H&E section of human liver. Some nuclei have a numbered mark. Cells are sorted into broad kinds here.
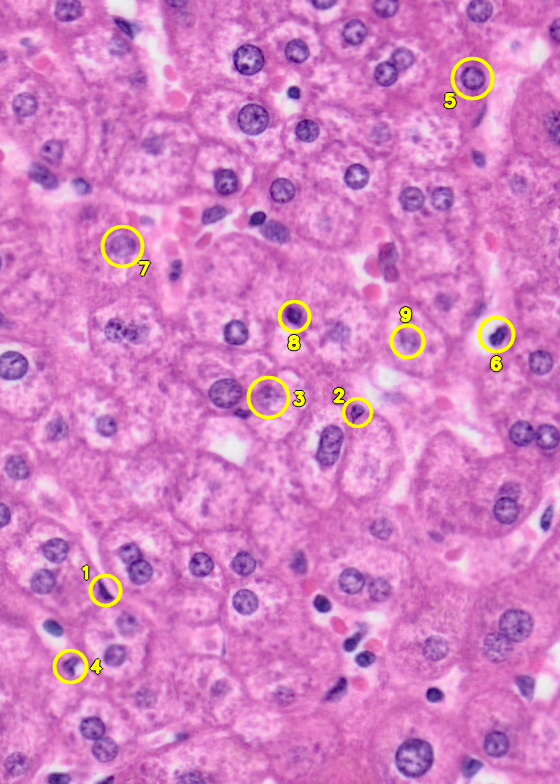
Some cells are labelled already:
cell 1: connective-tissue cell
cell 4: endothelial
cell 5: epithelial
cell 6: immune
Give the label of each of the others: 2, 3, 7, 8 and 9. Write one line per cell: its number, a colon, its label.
2: connective-tissue cell
3: epithelial
7: epithelial
8: connective-tissue cell
9: epithelial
